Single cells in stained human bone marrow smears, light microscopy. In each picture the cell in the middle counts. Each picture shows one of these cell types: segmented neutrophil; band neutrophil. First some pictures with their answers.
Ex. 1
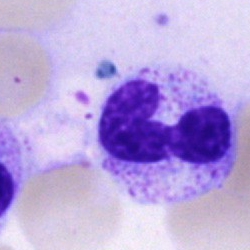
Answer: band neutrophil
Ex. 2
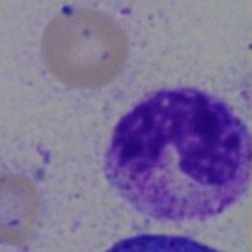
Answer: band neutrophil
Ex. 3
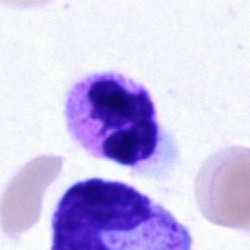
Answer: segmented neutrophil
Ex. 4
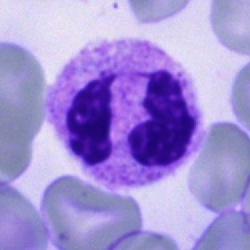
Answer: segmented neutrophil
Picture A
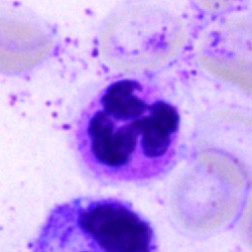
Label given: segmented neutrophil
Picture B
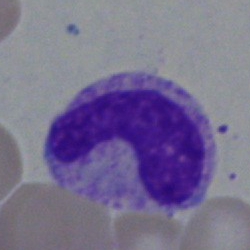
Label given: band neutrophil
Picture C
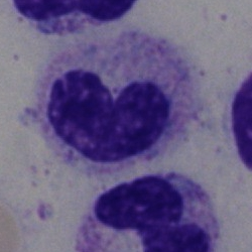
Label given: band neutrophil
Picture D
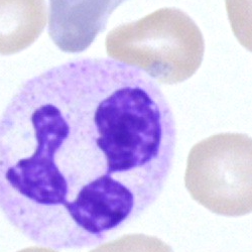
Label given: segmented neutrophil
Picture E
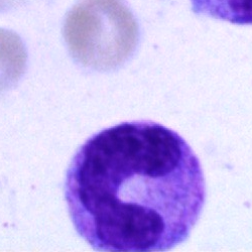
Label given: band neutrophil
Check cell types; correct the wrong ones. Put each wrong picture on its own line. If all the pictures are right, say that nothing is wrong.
All correct.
